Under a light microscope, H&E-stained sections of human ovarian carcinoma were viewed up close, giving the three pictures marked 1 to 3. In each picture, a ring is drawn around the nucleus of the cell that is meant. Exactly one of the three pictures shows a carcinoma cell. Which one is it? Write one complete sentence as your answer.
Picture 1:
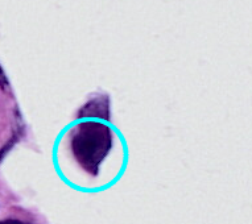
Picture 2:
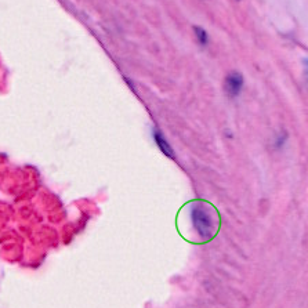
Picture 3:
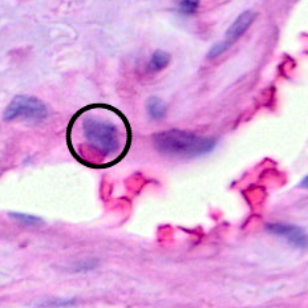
Picture 1 shows the carcinoma cell.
